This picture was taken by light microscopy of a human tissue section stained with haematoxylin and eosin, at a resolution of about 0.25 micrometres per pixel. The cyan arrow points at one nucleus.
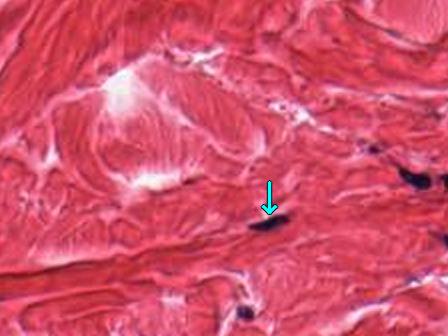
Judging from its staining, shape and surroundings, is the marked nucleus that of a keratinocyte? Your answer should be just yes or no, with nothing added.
no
